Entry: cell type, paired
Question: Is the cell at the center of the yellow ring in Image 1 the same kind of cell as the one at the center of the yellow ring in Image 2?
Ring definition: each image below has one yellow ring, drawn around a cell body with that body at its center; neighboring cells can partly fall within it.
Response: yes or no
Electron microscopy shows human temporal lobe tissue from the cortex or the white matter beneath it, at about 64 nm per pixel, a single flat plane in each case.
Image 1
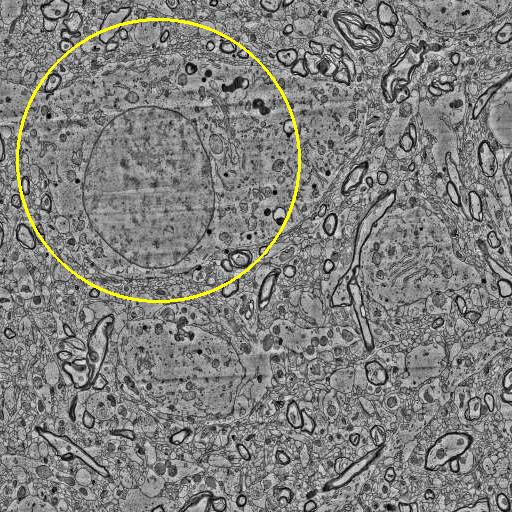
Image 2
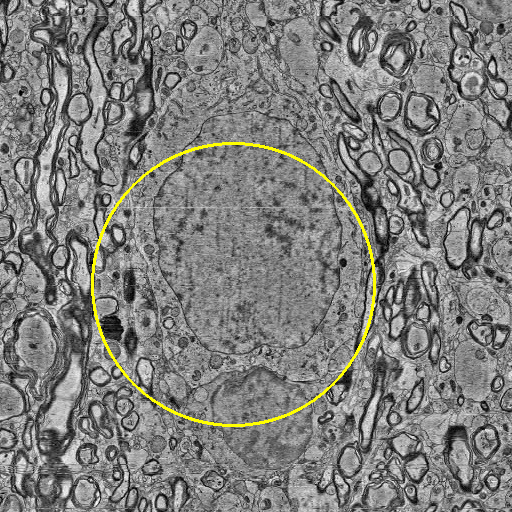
yes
